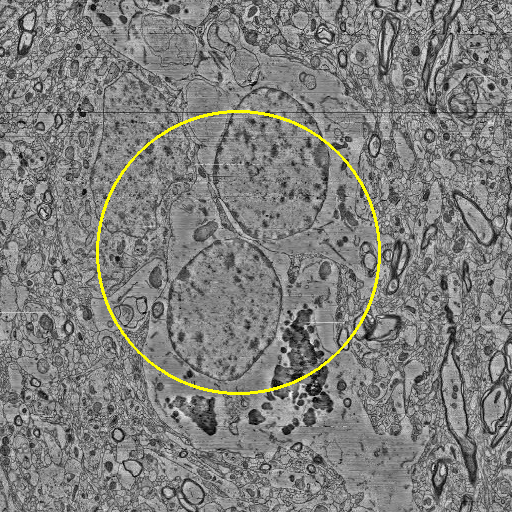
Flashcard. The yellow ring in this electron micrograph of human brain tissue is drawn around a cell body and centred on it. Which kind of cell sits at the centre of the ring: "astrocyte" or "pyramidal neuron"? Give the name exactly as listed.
astrocyte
